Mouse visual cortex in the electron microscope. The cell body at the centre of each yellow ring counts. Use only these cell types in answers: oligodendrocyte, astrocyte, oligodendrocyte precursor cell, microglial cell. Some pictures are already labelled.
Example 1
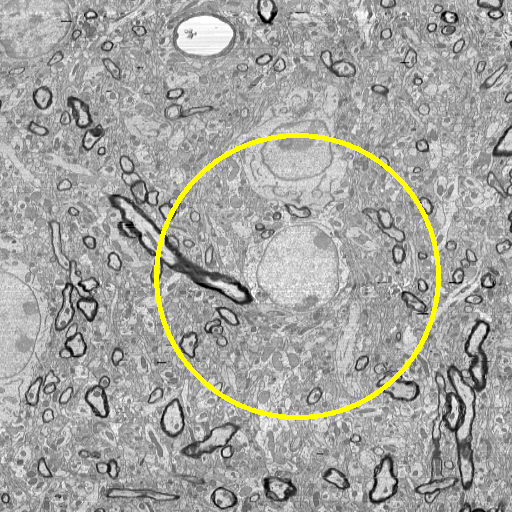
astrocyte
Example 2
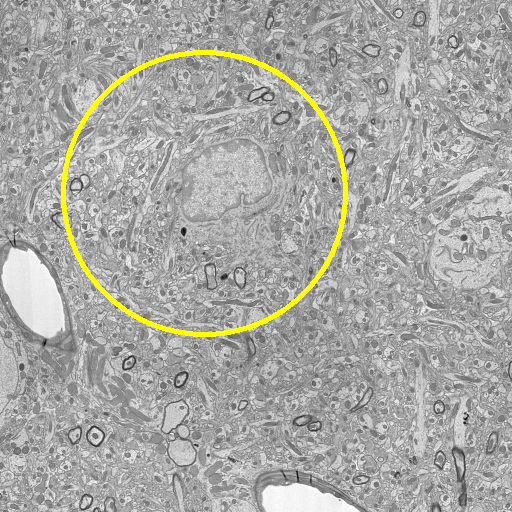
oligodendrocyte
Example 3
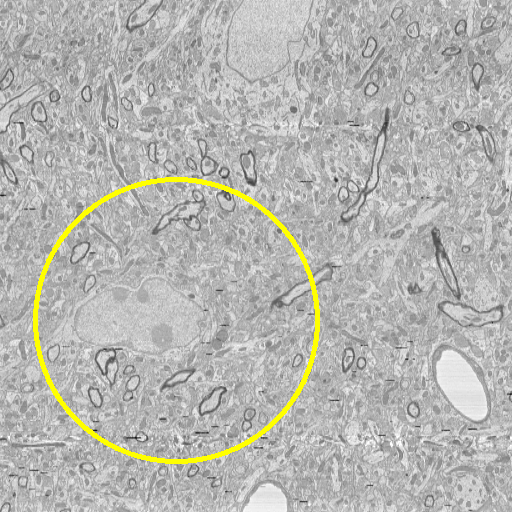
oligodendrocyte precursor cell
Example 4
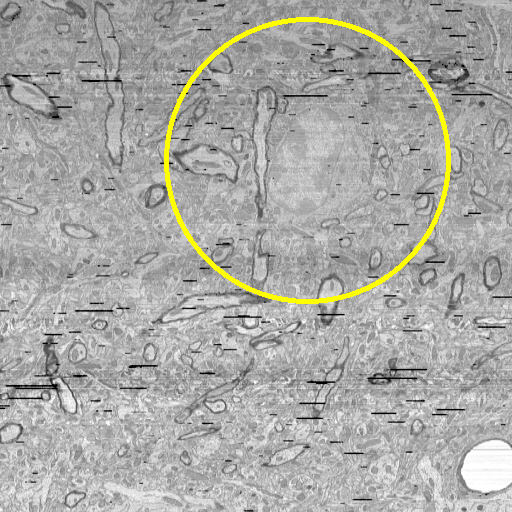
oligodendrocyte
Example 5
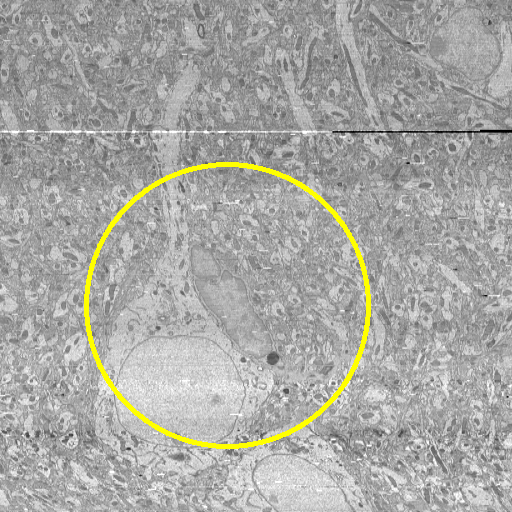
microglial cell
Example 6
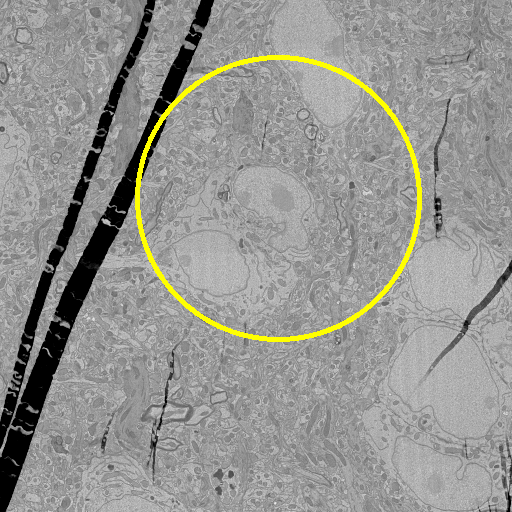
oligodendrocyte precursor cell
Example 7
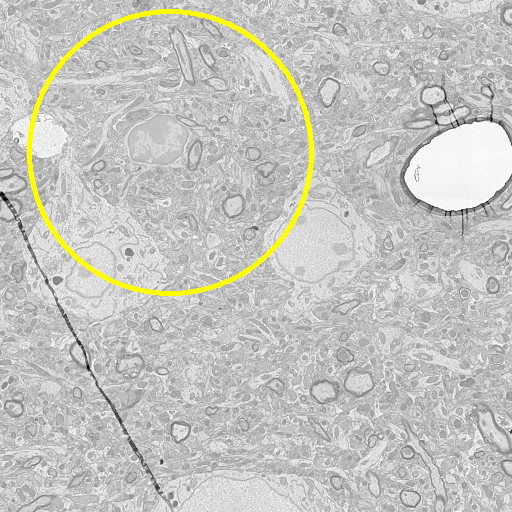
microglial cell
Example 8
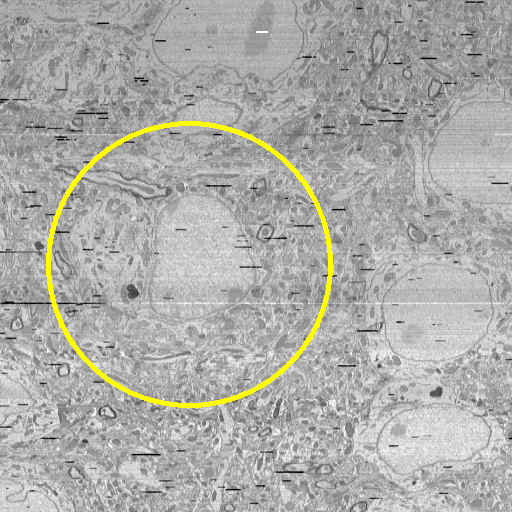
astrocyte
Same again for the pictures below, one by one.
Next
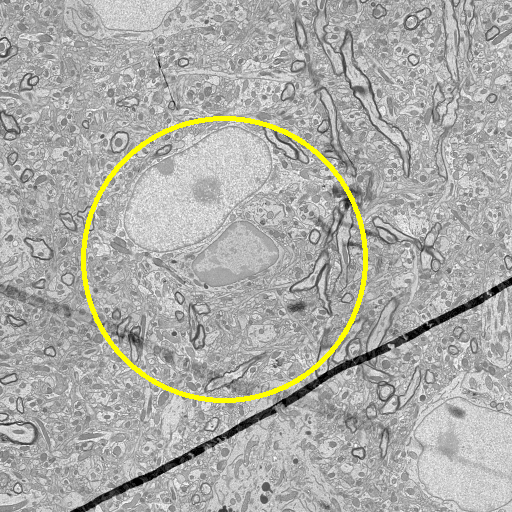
microglial cell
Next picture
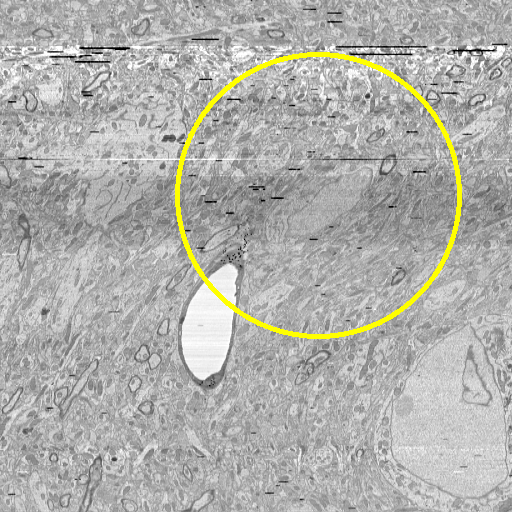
oligodendrocyte precursor cell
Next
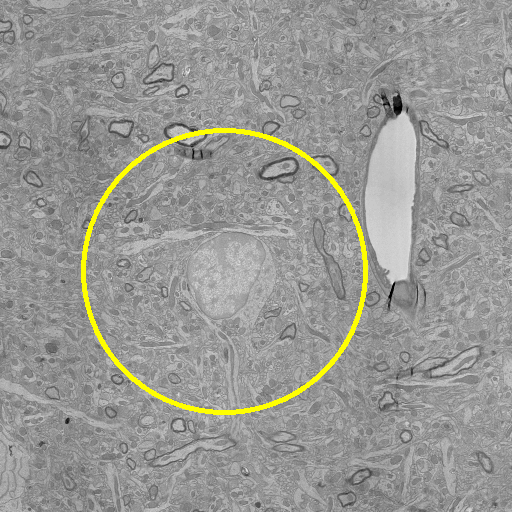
oligodendrocyte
